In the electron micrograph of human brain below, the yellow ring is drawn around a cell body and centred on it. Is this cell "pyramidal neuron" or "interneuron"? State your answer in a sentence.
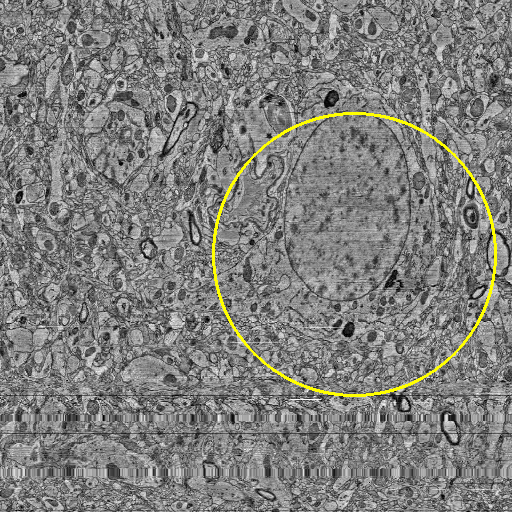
The cell in the middle of the ring is a pyramidal neuron.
